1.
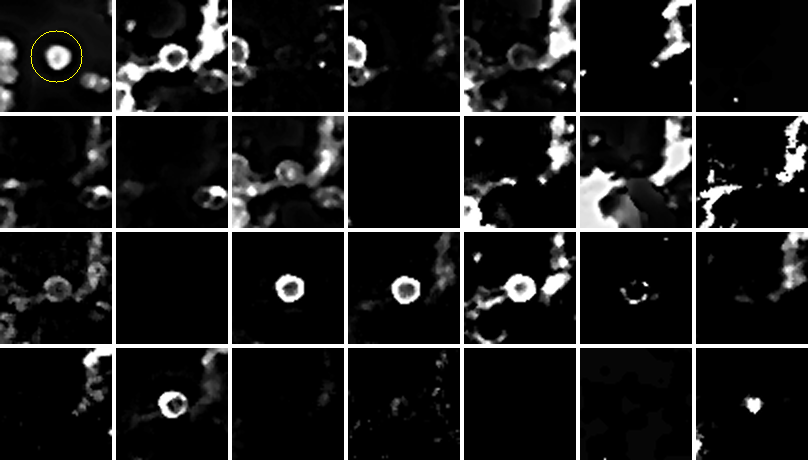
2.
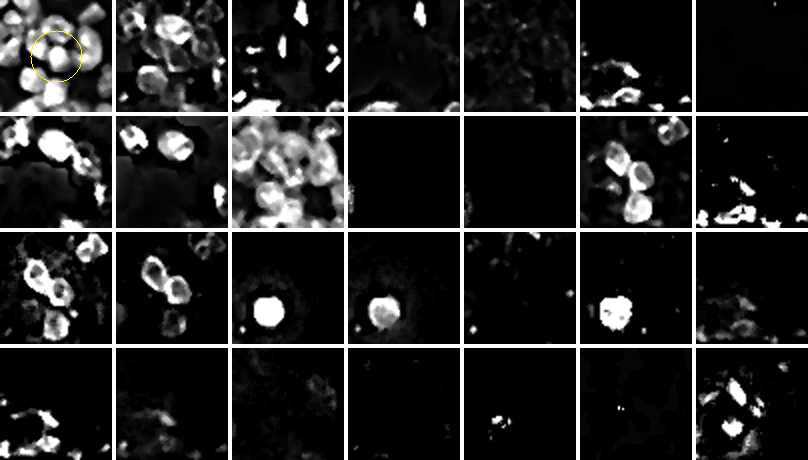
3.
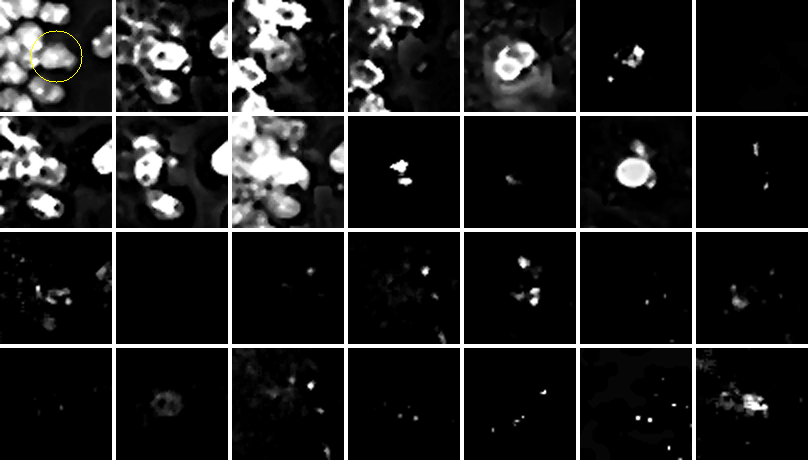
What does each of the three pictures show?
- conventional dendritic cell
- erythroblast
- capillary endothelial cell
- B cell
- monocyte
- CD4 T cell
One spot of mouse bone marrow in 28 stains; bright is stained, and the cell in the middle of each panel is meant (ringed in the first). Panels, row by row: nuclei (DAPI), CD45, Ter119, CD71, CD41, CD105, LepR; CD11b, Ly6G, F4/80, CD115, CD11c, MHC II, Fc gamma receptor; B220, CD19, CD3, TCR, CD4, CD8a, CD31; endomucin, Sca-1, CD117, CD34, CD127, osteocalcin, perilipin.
1: CD4 T cell
2: B cell
3: monocyte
